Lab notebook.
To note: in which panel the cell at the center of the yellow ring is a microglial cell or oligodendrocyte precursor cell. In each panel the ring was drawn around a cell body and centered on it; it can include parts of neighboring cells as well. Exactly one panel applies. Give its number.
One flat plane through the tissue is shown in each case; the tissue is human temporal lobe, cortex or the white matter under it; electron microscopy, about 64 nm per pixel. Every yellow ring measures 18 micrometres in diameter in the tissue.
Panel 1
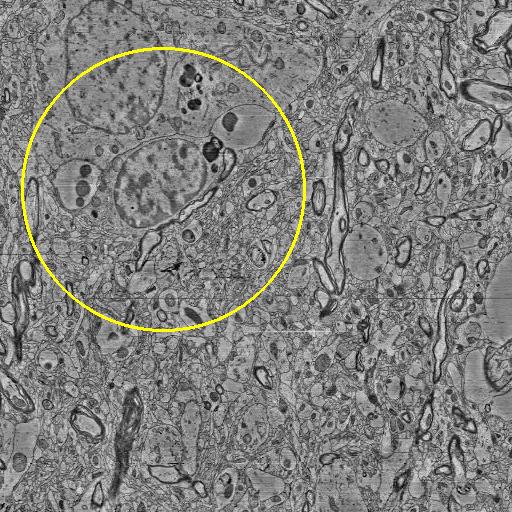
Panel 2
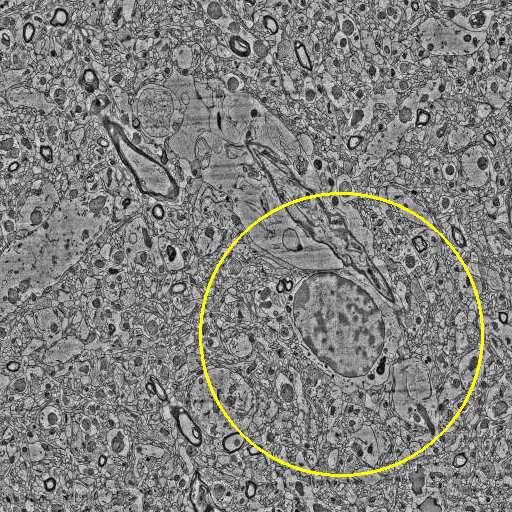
2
